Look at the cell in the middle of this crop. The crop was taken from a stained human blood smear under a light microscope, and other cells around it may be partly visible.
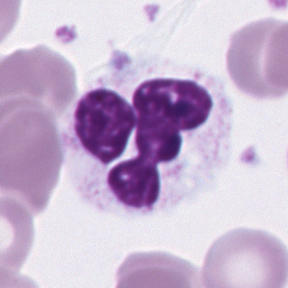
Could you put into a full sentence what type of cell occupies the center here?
The central cell shown in this smear crop is a segmented neutrophil.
